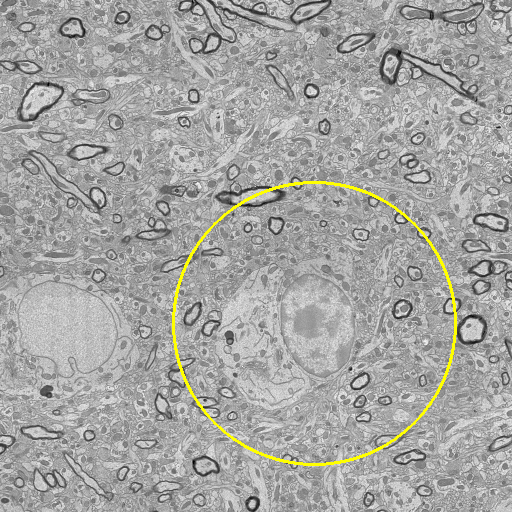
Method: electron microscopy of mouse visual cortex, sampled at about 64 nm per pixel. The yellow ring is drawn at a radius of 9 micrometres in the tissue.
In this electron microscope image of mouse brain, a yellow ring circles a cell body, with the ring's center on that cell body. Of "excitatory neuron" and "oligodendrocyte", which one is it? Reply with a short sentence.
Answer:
It is an oligodendrocyte at the center of the ring.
